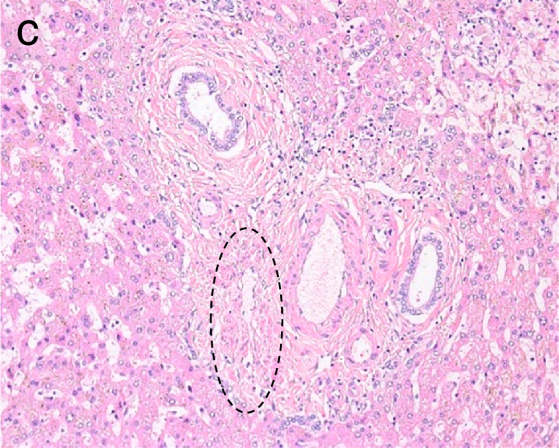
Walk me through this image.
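This is liver parenchyma with a portal tract in the upper centre, surrounded by plates of polygonal hepatocytes with pink cytoplasm and round central nuclei. The portal tract consists of dense pink fibrous tissue containing round ducts lined by a single layer of cuboidal cells with purple nuclei. Beside them lies an open vessel, while within the fibrous tissue a small slit-like vascular channel is hardly made out.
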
